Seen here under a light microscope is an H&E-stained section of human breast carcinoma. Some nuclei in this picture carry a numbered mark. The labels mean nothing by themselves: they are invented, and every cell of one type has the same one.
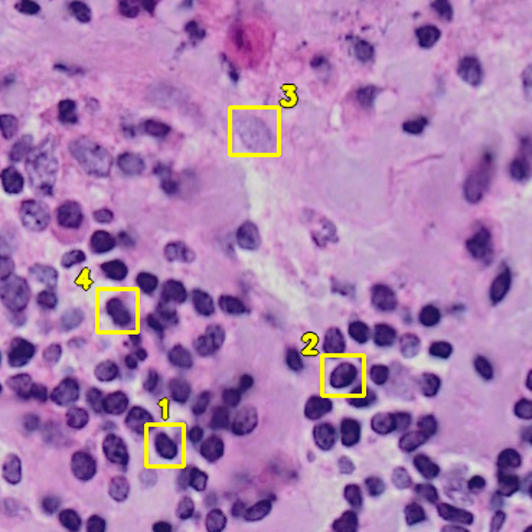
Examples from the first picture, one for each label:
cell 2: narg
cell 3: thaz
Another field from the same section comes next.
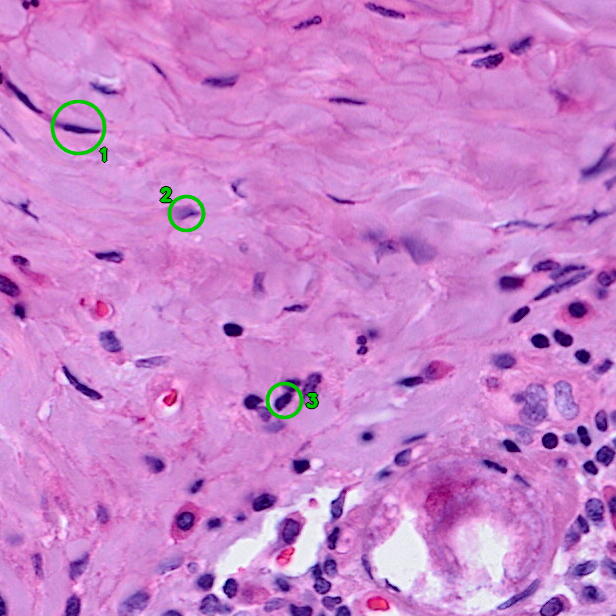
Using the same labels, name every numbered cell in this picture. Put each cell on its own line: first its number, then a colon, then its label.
1: thaz
2: thaz
3: narg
